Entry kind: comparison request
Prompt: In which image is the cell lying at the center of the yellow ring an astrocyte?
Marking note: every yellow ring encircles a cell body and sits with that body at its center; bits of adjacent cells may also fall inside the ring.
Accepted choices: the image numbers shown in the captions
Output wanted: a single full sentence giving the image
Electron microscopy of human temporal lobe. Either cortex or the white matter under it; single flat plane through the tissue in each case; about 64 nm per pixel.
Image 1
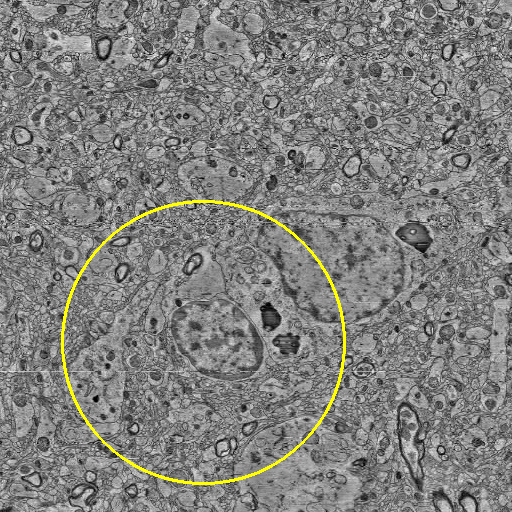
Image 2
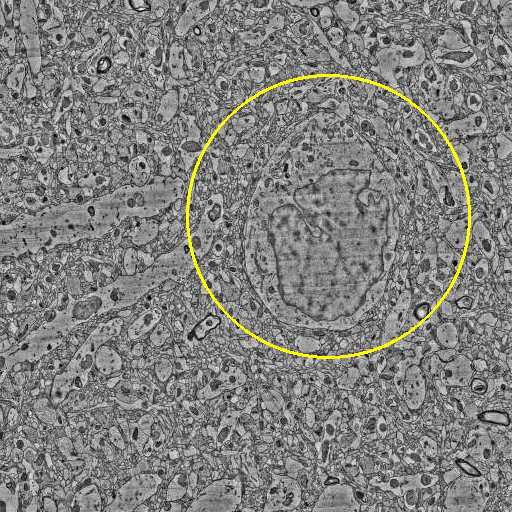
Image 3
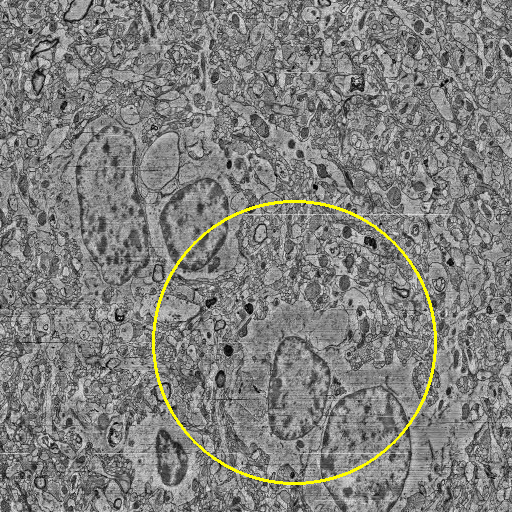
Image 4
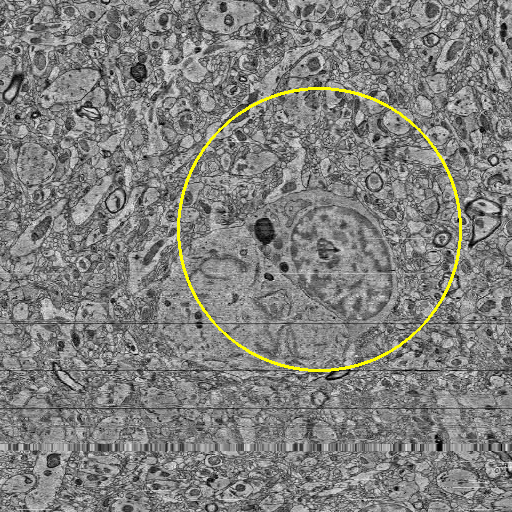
In image 3, the ringed cell at the center matches the prompt.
